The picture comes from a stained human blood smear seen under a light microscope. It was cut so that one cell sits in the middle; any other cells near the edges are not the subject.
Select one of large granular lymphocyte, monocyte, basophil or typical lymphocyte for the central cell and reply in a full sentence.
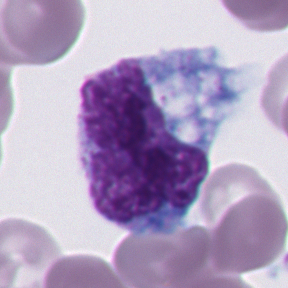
The cell found in the middle of this crop is a monocyte.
